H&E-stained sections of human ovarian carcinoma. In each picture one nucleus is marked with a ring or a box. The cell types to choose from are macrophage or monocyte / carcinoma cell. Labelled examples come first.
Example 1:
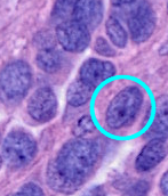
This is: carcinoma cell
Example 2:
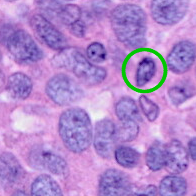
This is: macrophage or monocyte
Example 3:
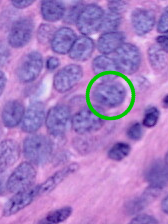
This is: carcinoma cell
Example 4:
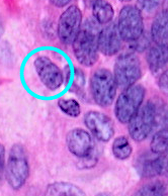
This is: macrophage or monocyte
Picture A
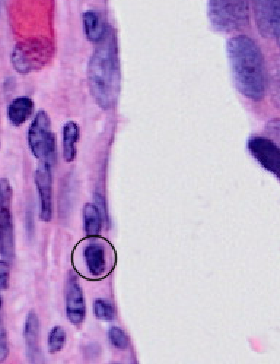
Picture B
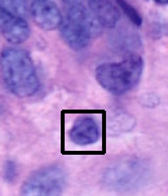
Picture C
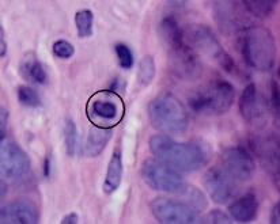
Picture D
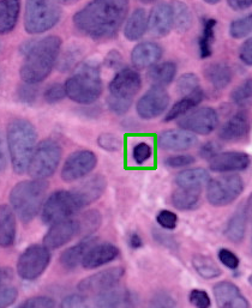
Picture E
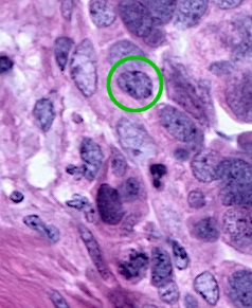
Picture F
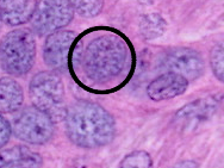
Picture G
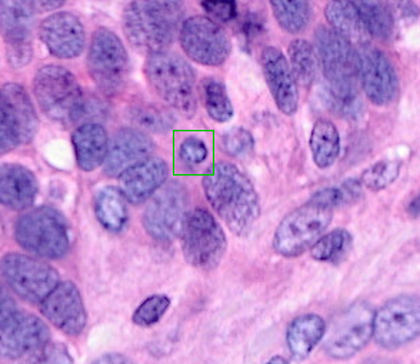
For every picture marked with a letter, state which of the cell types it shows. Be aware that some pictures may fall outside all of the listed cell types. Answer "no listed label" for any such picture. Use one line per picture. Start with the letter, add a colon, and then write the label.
A: no listed label
B: no listed label
C: no listed label
D: no listed label
E: macrophage or monocyte
F: carcinoma cell
G: macrophage or monocyte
